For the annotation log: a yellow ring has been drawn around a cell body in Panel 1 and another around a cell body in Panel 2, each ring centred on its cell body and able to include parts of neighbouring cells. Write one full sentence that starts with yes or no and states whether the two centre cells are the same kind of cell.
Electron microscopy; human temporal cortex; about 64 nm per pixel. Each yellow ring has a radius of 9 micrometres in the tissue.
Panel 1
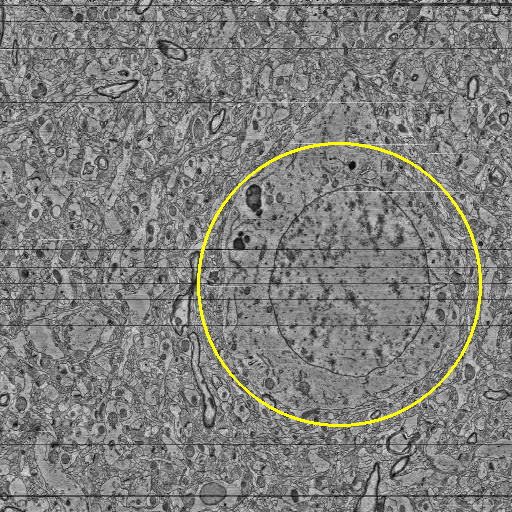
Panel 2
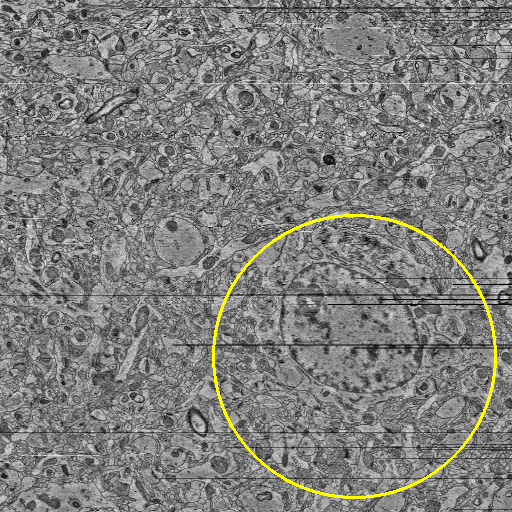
No, the two centre cells are two kinds of cell.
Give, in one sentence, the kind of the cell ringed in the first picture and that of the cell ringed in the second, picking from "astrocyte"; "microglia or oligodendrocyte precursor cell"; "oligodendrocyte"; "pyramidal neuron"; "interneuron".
For the first picture it is a pyramidal neuron; for the second, an astrocyte.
